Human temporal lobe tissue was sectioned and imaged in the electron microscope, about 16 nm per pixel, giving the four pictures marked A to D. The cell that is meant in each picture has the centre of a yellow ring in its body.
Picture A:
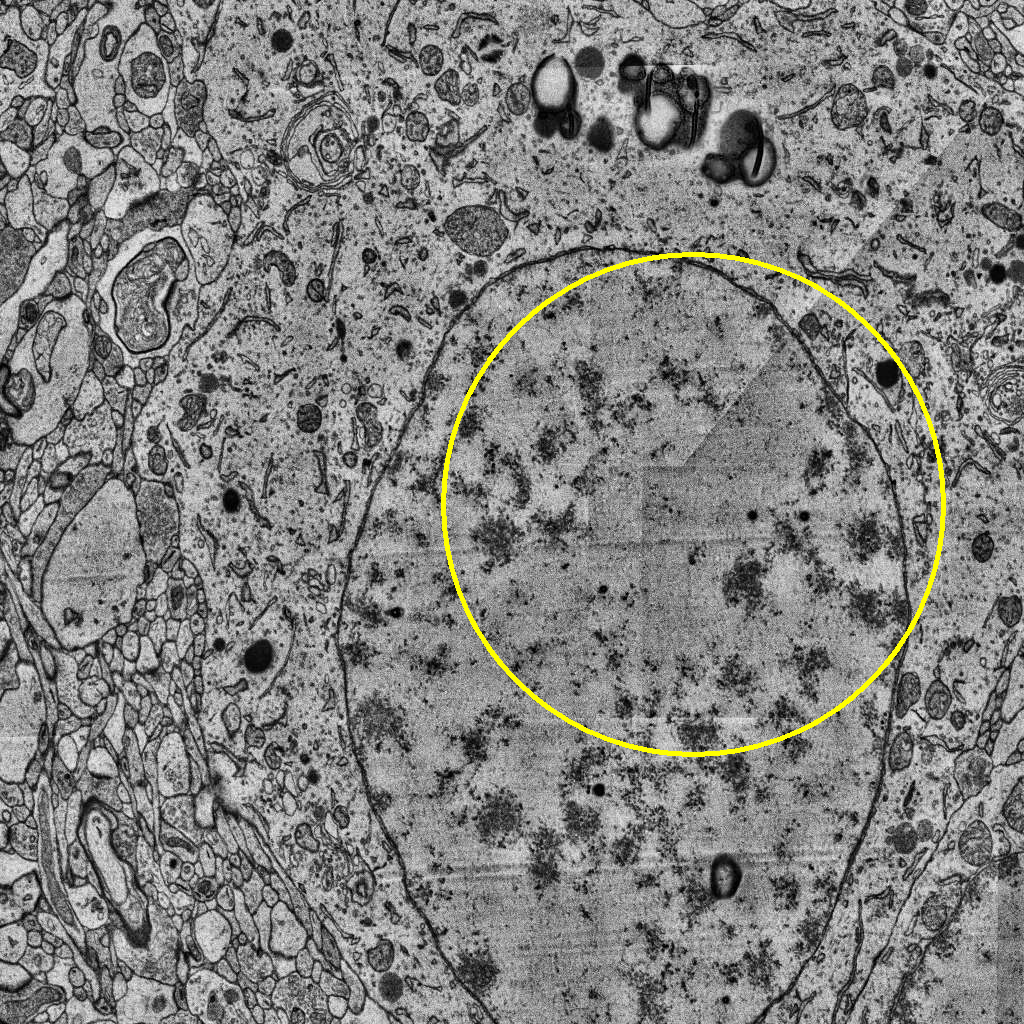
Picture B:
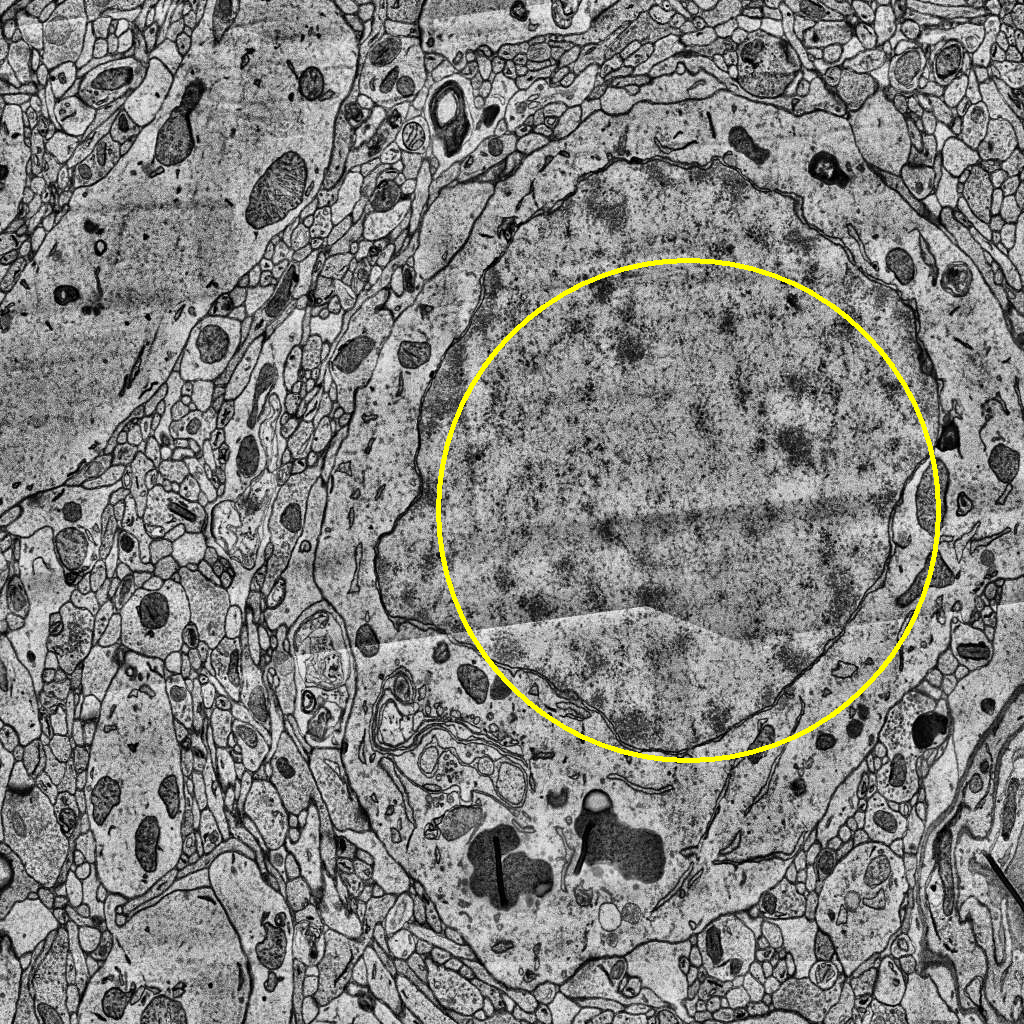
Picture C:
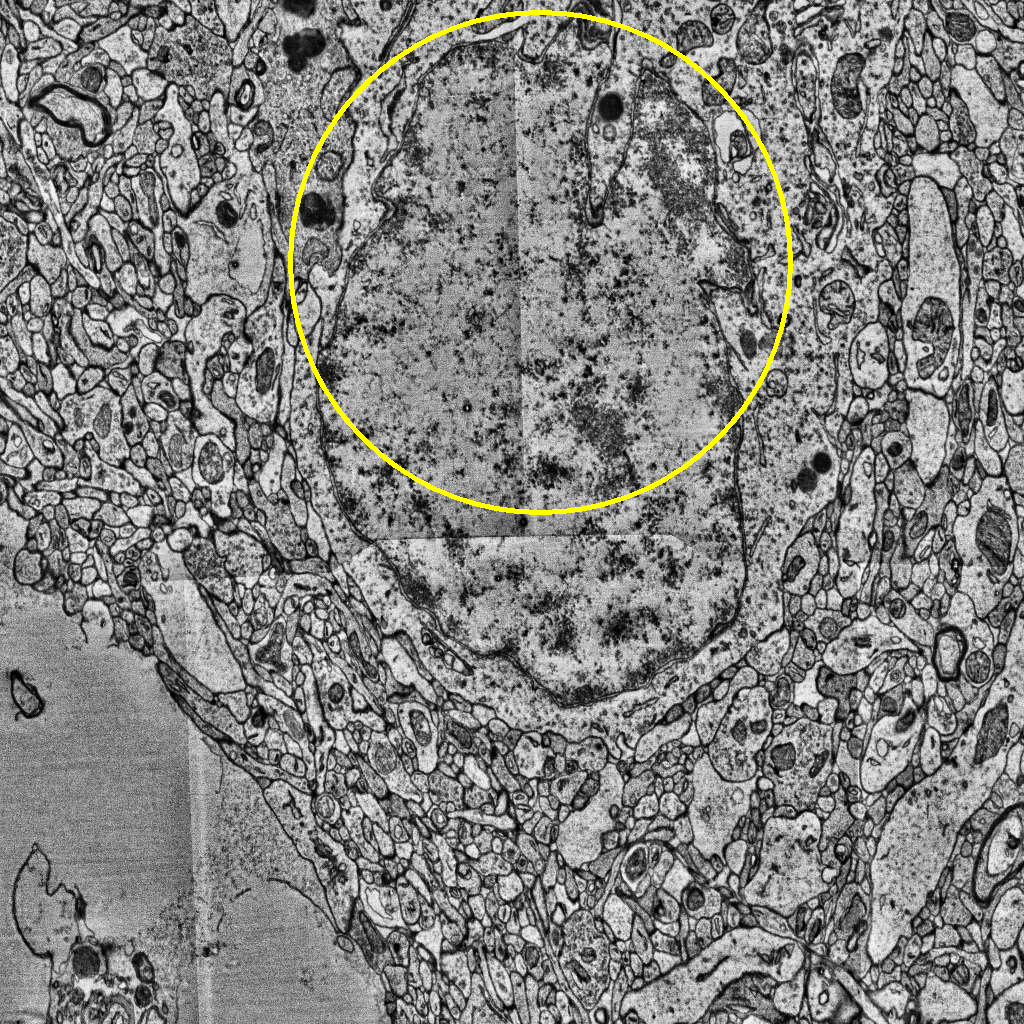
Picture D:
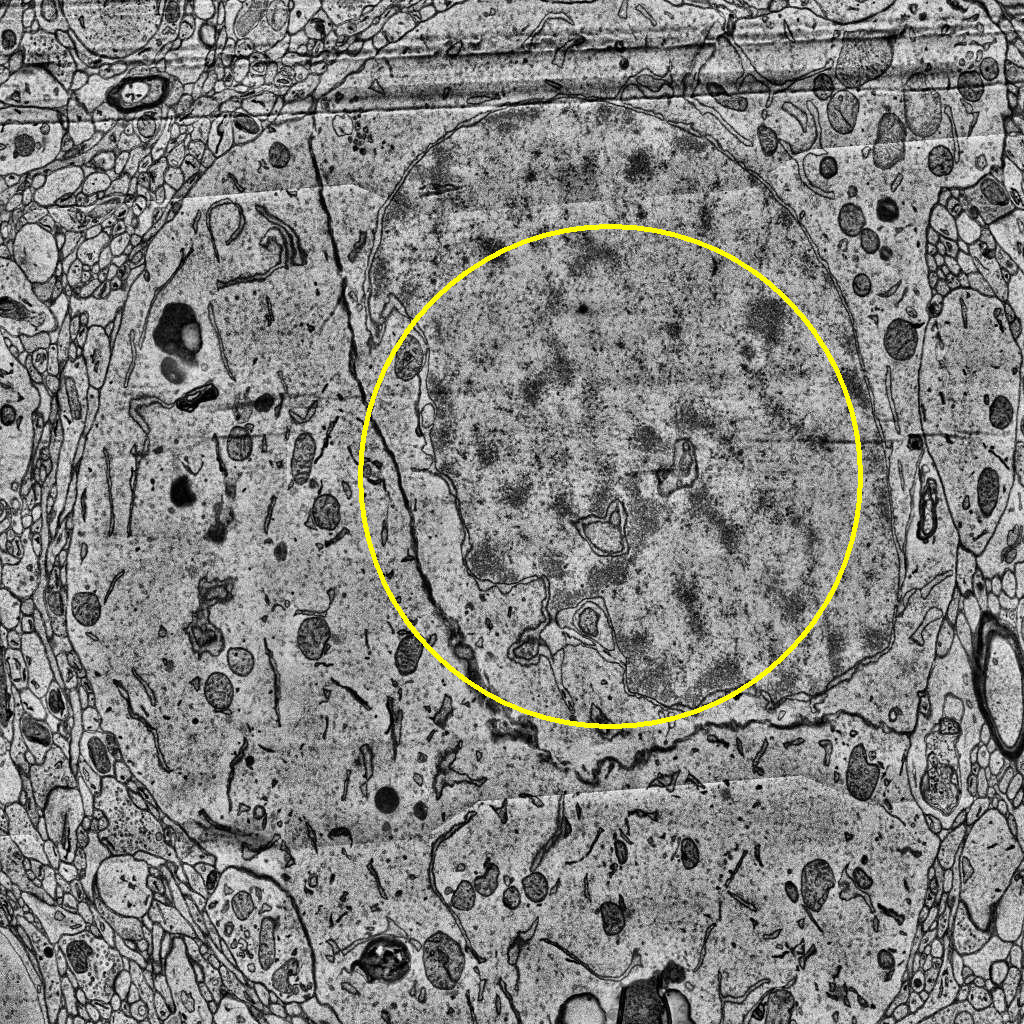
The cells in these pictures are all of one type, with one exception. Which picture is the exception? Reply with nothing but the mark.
A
